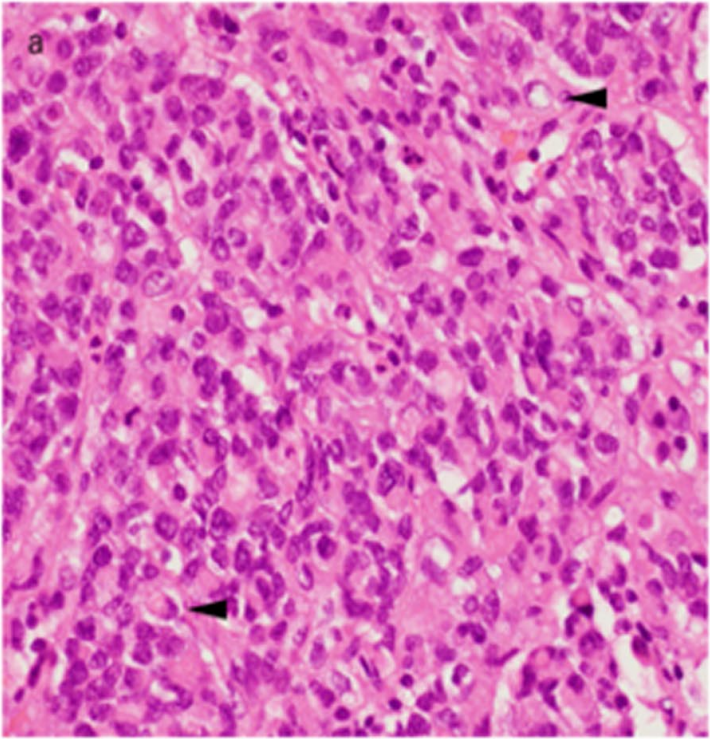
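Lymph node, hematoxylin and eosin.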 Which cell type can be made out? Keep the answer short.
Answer: Polygonal neoplastic cells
